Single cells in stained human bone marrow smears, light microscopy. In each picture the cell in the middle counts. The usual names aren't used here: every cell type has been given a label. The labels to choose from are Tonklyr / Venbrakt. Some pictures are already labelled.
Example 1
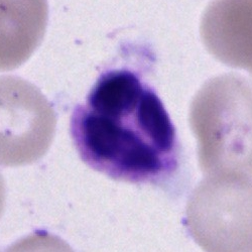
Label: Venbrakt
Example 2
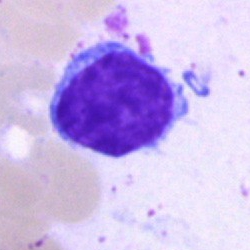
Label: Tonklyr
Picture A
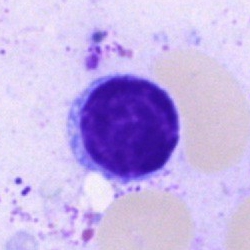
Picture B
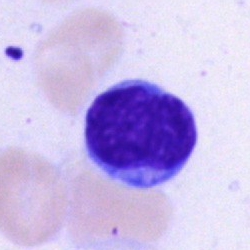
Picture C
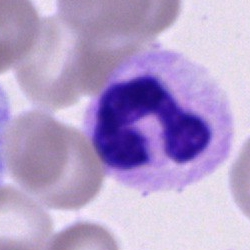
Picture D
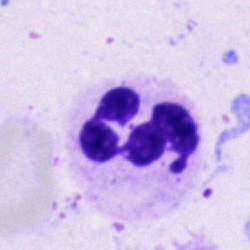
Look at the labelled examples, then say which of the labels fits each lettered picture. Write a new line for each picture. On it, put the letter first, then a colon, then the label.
A: Tonklyr
B: Tonklyr
C: Venbrakt
D: Venbrakt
